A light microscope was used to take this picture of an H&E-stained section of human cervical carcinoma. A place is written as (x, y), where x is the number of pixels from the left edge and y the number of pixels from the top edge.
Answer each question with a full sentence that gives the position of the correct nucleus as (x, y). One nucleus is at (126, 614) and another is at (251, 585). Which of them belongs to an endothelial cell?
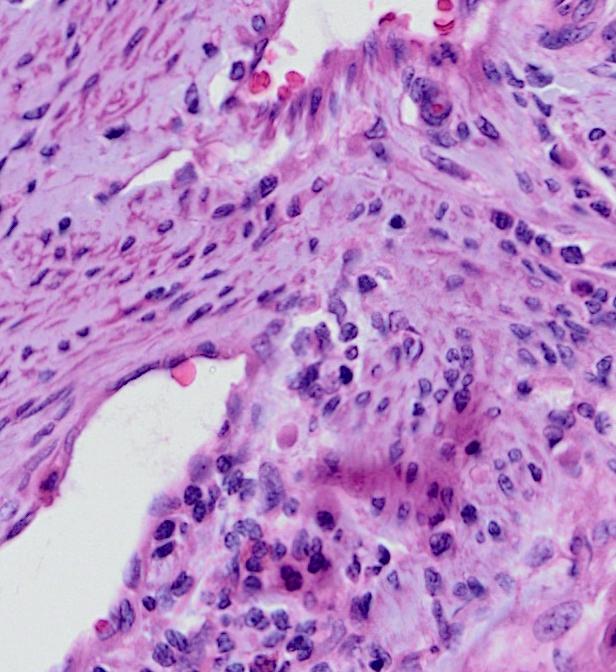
In this pair, the nucleus at (126, 614) belongs to an endothelial cell.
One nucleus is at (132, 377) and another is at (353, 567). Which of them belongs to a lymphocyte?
The nucleus at (353, 567), rather than the other, belongs to a lymphocyte.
